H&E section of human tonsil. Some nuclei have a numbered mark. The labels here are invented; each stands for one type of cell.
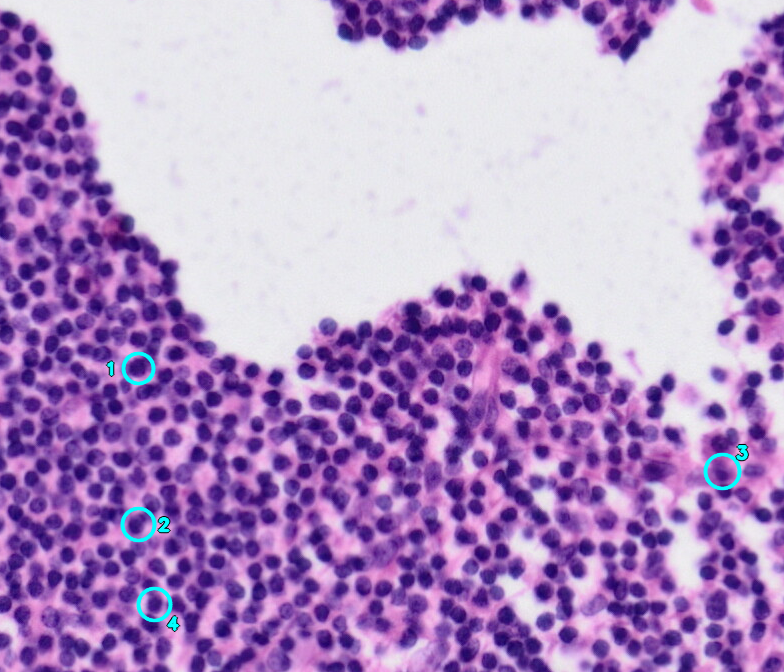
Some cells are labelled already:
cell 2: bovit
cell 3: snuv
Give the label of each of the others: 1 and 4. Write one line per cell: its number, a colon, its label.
1: bovit
4: bovit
